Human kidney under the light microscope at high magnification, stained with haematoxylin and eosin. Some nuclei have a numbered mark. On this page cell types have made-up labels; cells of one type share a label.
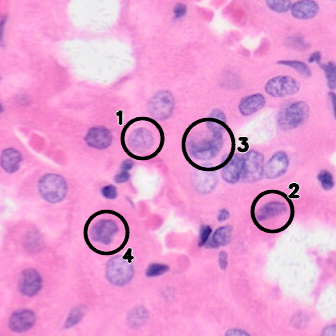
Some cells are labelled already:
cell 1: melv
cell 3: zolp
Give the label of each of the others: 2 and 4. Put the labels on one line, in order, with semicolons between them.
melv; melv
